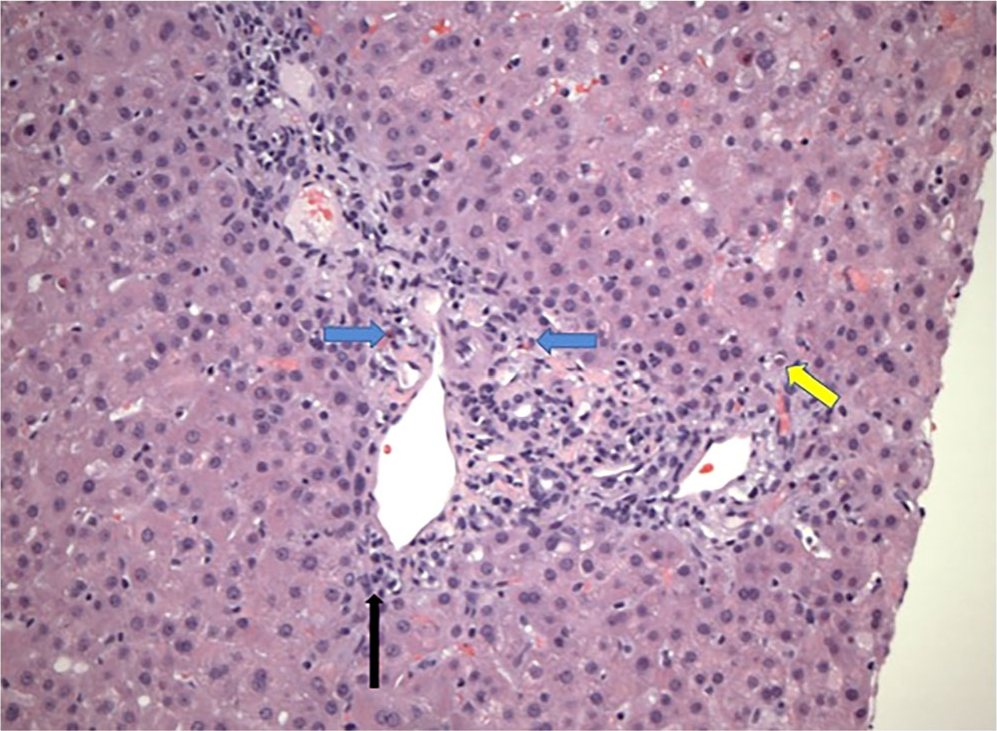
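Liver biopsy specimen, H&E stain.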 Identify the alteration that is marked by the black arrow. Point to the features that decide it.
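At the arrow, small dark inflammatory nuclei extend from the portal area into the adjacent hepatocyte plates. The border between portal tract and liver cells is blurred there. That points to this answer: interface. Hepatitis.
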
